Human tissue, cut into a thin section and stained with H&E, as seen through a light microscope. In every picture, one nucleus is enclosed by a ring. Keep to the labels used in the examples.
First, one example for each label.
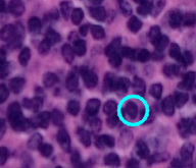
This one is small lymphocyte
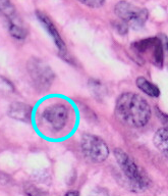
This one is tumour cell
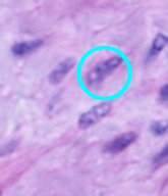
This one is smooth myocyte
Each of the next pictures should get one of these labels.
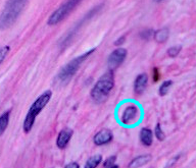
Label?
smooth myocyte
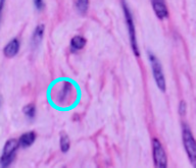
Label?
smooth myocyte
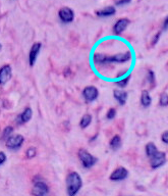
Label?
smooth myocyte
